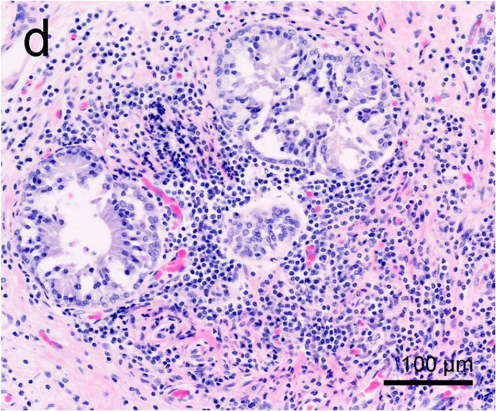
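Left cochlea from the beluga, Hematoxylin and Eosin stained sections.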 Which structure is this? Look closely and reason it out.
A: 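Columnar epithelial cells line the lumens. The glands are surrounded by a dense infiltrate of small dark round cells.
Conclusion: entrapped variably sized glands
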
